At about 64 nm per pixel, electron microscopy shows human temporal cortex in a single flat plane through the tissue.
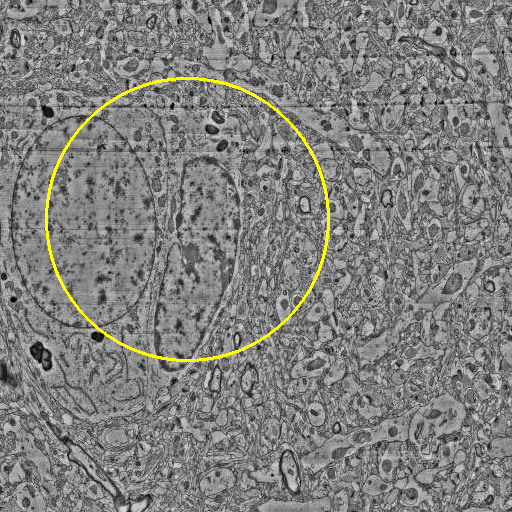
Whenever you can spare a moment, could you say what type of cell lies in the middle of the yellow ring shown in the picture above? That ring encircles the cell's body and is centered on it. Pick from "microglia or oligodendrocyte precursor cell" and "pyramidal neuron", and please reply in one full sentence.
The cell whose body sits at the middle of the yellow ring is a microglial cell or oligodendrocyte precursor cell.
